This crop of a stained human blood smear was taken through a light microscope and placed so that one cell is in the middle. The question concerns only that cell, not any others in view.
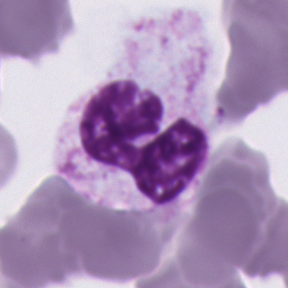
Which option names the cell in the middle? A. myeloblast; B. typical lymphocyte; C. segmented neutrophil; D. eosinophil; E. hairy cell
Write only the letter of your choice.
C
